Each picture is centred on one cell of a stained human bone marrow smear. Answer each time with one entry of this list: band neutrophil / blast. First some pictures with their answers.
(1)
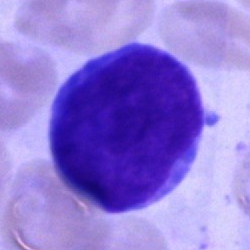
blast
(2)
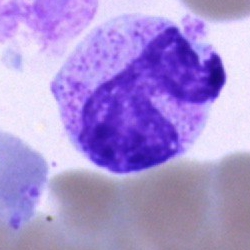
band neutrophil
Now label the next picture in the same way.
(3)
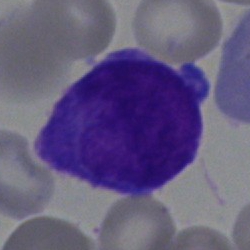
blast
